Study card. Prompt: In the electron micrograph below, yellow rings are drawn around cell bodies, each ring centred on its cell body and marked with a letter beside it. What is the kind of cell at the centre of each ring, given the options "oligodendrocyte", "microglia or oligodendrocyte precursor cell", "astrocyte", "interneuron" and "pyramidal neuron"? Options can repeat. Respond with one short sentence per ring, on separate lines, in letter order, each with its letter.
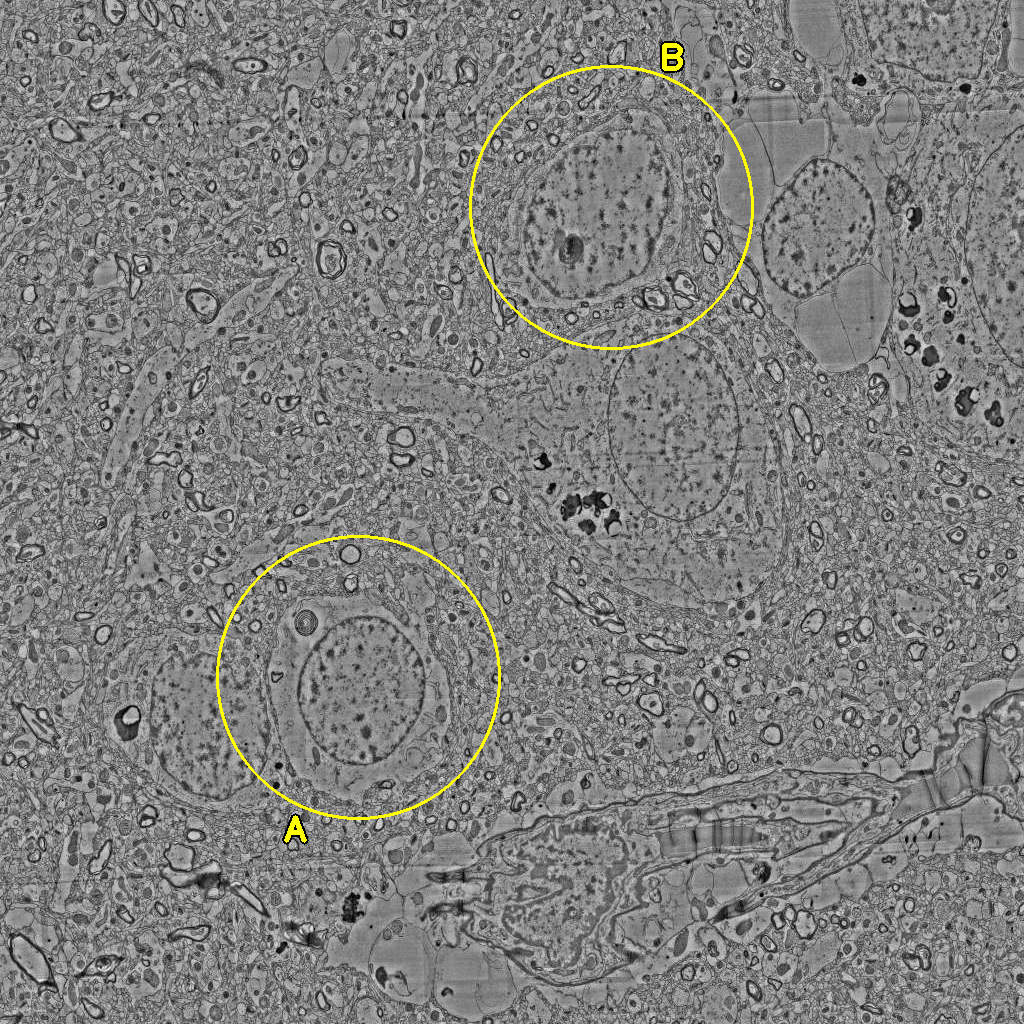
Ring A outlines an astrocyte.
Ring B outlines an interneuron.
